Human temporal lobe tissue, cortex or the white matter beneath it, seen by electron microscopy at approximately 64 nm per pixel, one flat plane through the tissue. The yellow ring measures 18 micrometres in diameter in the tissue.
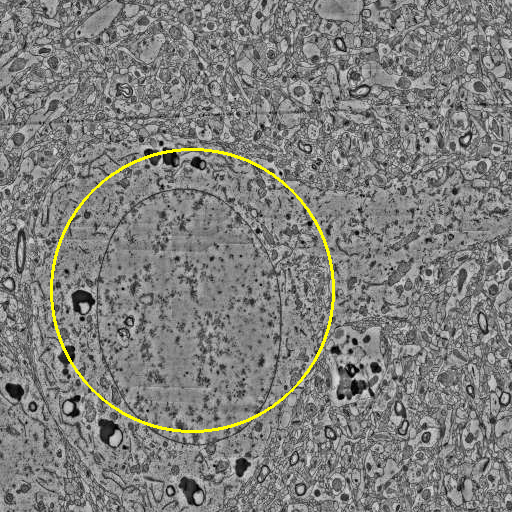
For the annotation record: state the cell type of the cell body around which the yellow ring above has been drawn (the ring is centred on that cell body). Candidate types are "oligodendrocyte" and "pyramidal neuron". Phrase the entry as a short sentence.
The ringed cell is a pyramidal neuron.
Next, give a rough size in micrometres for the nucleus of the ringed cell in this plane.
Approximately 16 micrometres long and 12 micrometres wide, in this plane.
